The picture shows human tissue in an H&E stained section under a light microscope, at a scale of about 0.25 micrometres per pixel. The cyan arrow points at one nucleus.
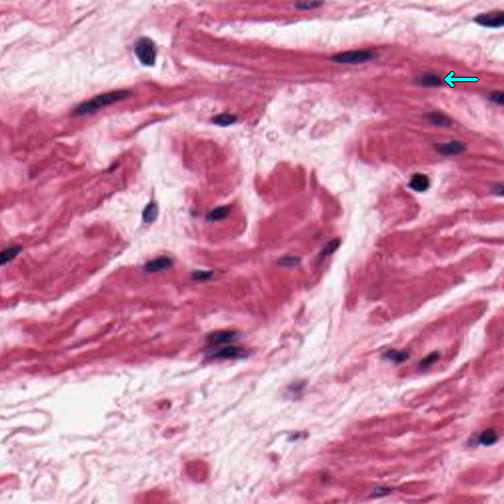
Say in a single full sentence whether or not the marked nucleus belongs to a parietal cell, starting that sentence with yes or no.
No, the marked nucleus is not owned by a parietal cell.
